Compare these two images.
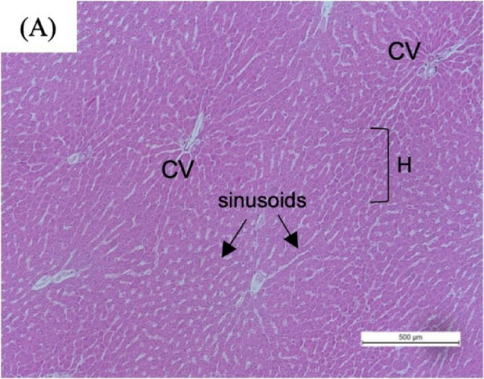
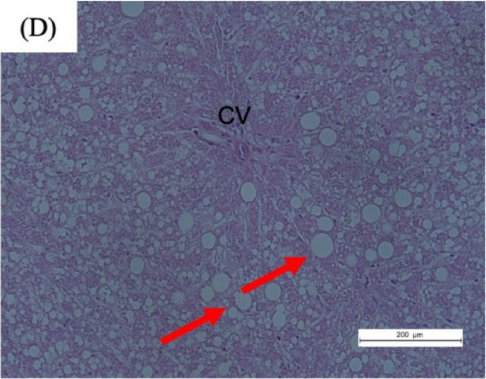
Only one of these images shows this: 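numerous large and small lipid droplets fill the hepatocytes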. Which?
The second image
